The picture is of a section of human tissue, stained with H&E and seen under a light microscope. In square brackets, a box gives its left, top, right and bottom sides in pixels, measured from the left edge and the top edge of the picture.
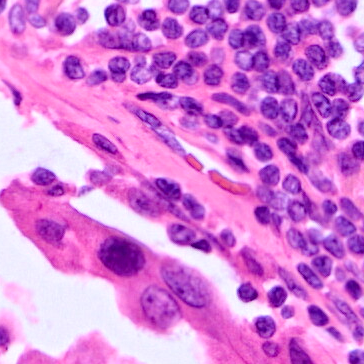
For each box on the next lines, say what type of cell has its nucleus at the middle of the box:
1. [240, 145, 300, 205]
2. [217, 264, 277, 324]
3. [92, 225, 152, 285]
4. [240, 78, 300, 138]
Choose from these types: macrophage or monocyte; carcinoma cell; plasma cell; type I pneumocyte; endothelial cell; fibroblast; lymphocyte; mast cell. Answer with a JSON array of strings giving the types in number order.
["lymphocyte", "lymphocyte", "carcinoma cell", "lymphocyte"]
